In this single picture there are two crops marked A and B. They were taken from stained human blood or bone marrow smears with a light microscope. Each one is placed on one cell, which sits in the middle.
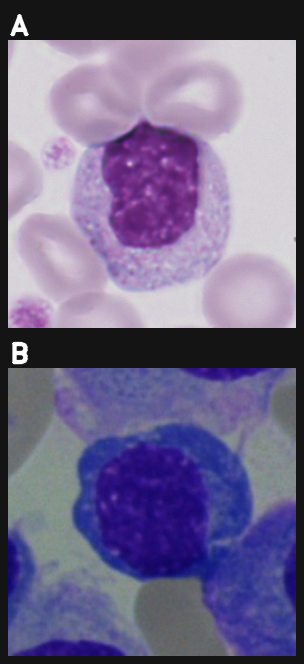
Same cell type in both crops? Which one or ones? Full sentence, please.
No, sorry, crop A shows a myelocyte and crop B shows a plasma cell.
